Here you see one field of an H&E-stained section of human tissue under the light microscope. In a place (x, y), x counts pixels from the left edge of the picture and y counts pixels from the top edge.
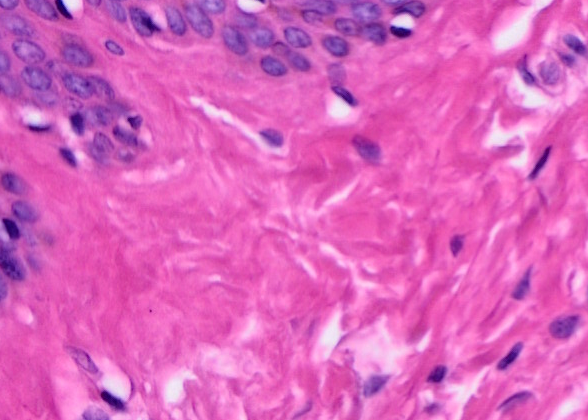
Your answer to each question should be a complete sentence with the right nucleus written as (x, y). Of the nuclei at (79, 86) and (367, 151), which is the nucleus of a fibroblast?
The nucleus at (367, 151) is the one of the two that belongs to a fibroblast.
